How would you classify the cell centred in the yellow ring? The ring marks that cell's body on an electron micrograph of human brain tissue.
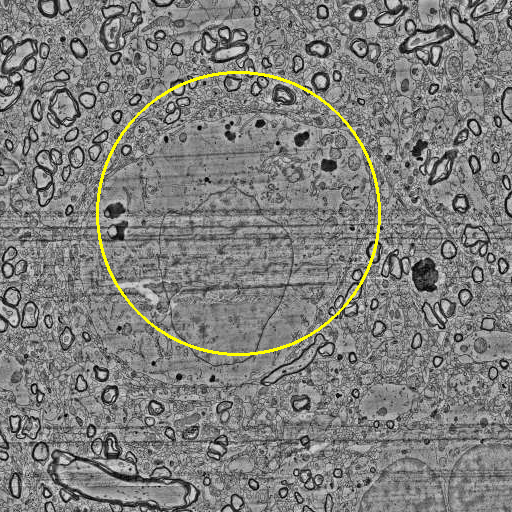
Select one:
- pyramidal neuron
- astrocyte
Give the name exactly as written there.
pyramidal neuron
